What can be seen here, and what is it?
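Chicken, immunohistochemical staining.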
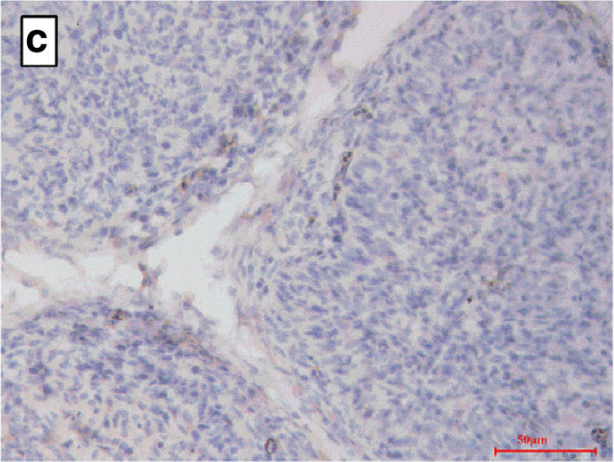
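Lobules of densely packed small round and oval cells with blue-stained nuclei are separated by thin septa and open clefts. Almost no brown colour is present in the cells, only a few scattered dark specks, so this is the follicular tissue of the bursa showing essentially no staining.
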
